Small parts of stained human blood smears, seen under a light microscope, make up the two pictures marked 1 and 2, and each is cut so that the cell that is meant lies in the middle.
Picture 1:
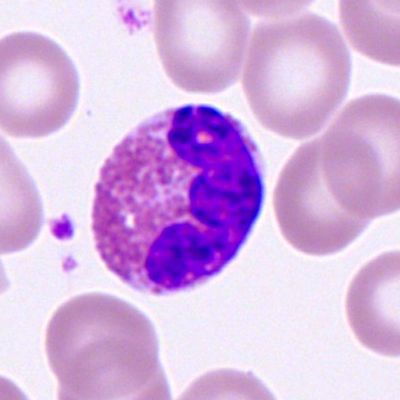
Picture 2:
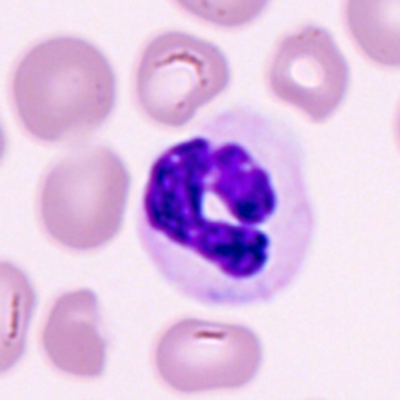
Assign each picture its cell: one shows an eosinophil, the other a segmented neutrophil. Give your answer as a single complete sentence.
Picture 2 shows a segmented neutrophil, while picture 1 shows an eosinophil.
